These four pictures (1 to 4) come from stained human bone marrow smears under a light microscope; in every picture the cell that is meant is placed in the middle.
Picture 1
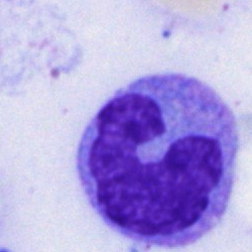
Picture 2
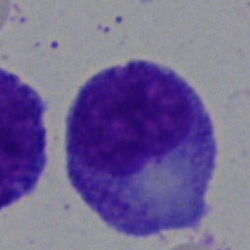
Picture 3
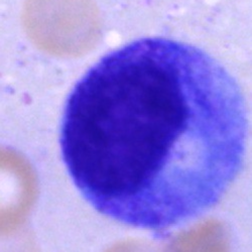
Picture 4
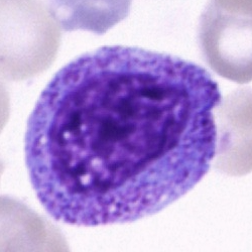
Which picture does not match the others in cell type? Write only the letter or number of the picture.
1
